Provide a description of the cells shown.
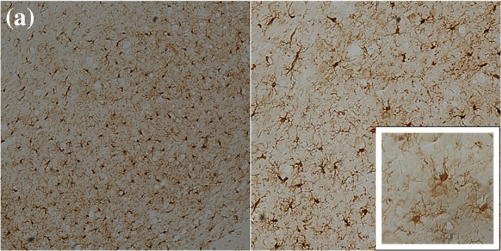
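This is brain tissue in which microglia stand out in brown against a pale background. Each cell has a small body with several long, thin, branching processes. The cells are scattered fairly evenly and apart from one another, and the staining is light overall.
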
